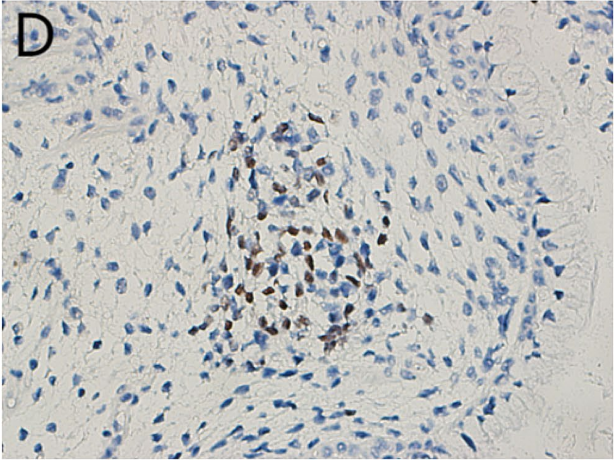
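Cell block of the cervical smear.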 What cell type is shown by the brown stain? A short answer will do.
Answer: small blue cells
